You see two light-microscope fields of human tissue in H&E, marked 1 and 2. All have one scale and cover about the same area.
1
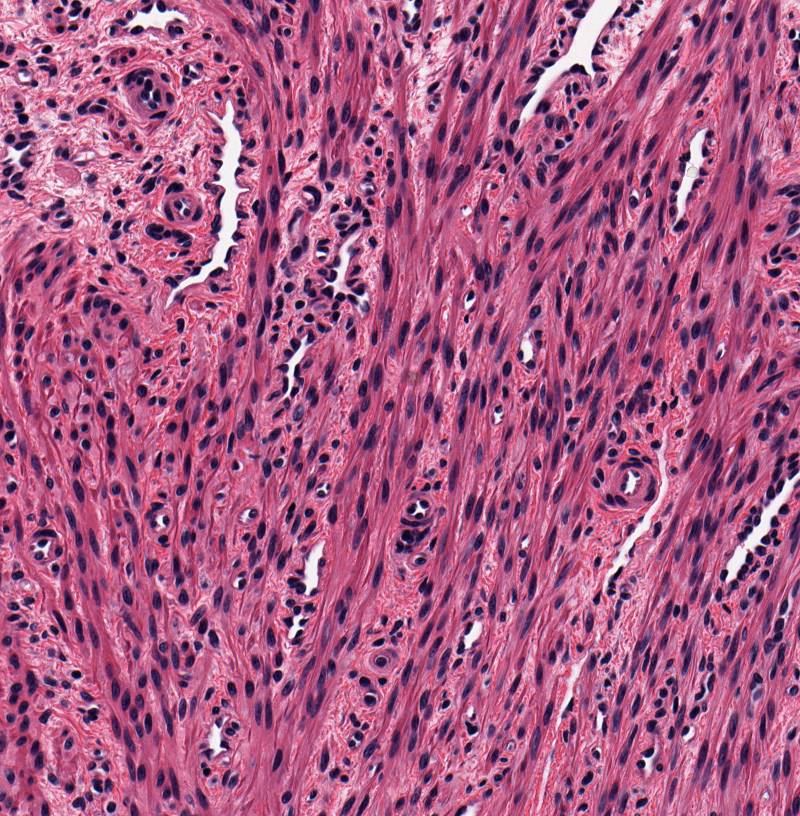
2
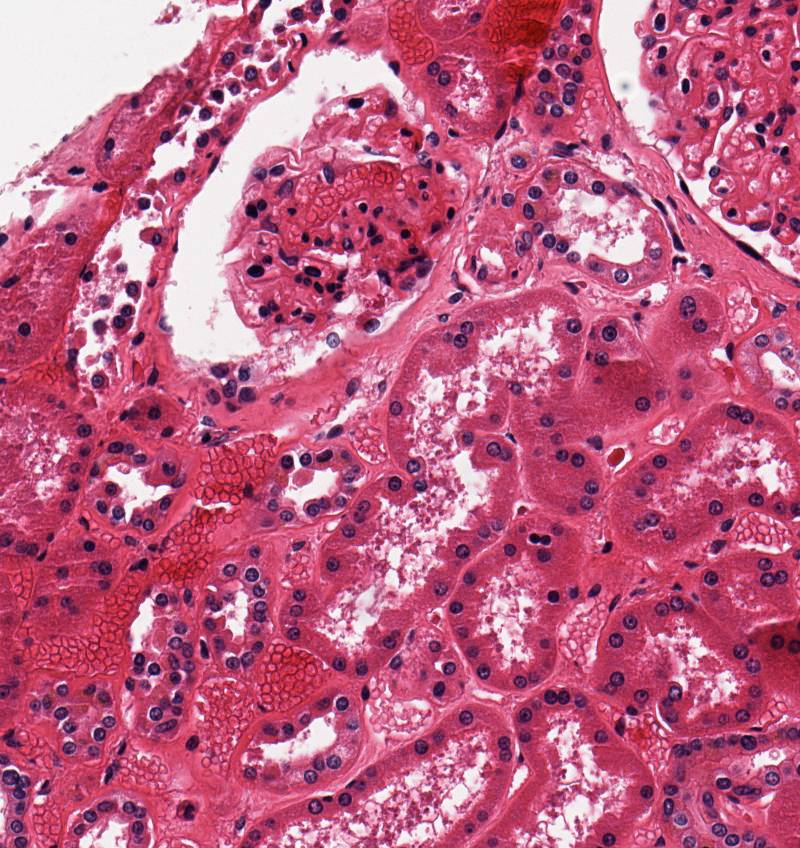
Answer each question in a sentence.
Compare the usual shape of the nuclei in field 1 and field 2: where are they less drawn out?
Rounder nuclei lie in field 2.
